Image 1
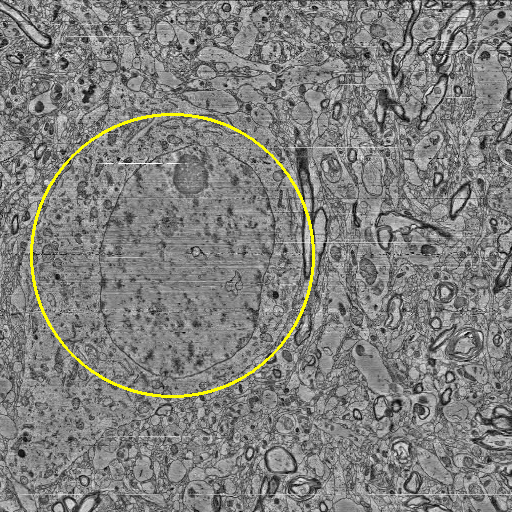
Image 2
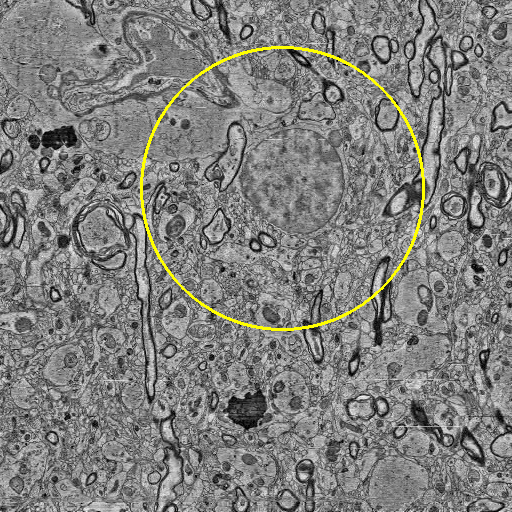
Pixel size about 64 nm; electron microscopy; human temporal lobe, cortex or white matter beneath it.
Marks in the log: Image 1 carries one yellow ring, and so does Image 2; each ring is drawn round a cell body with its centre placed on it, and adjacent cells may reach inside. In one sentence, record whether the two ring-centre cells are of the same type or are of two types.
The two cells at the ring centres, one in each image, are of two types.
